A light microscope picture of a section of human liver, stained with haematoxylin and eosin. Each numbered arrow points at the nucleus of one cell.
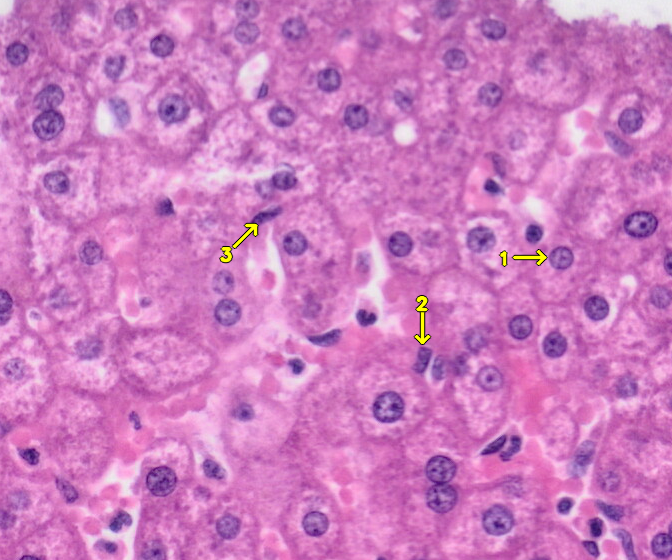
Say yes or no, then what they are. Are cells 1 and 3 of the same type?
No, cell 3 is a fibroblast or stellate cell, but cell 1 is a hepatocyte.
